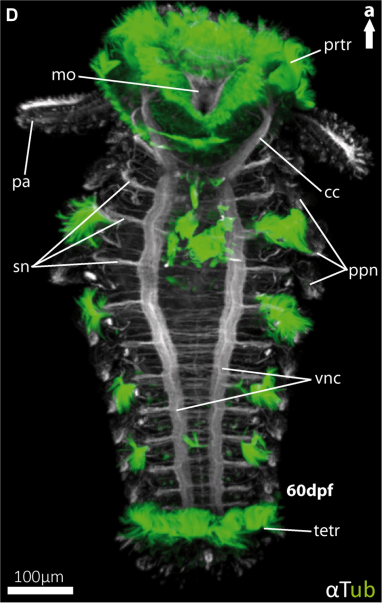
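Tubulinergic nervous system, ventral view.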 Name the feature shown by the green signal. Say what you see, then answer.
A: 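Green patches of dense hair-like projections lie on the body surface. A broad green band rings the head end and another the hind end. Smaller green tufts sit in paired rows along the sides of the body.
Answer: external ciliation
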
